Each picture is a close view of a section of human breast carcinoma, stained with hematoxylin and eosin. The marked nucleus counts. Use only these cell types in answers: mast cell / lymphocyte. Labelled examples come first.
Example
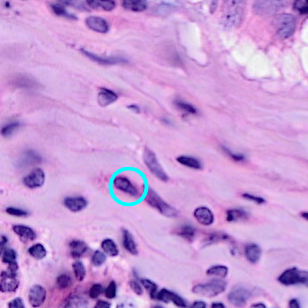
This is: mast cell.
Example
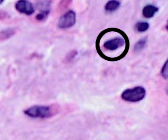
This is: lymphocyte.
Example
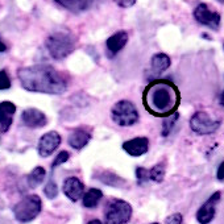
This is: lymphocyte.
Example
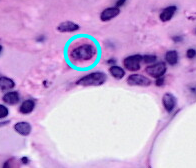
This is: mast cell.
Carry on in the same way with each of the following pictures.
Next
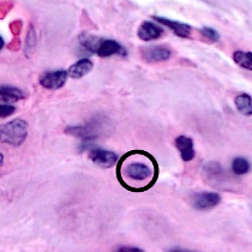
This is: mast cell.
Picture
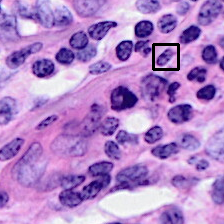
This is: lymphocyte.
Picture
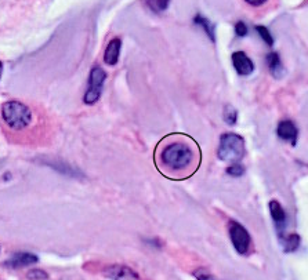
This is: mast cell.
